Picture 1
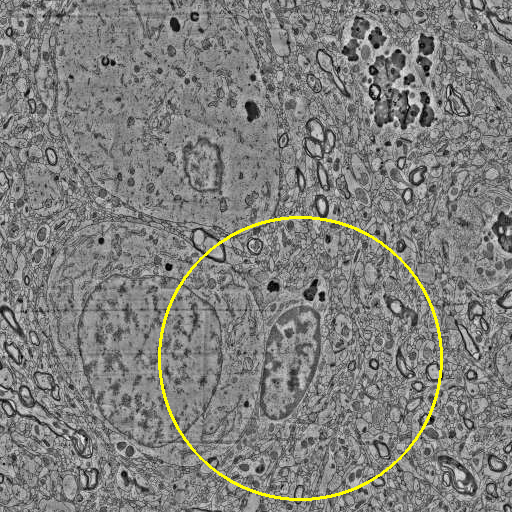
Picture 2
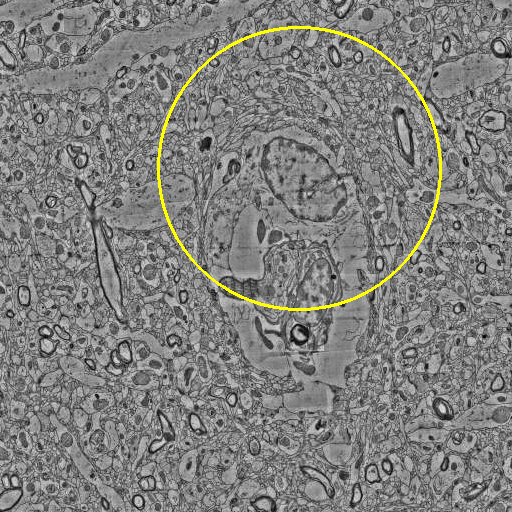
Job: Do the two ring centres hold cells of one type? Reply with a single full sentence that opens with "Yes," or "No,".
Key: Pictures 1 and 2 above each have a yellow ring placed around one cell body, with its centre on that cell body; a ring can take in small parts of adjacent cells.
Yes, the cells at the two ring centres are of one single type.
